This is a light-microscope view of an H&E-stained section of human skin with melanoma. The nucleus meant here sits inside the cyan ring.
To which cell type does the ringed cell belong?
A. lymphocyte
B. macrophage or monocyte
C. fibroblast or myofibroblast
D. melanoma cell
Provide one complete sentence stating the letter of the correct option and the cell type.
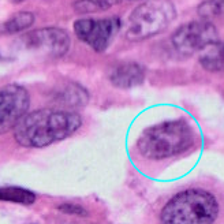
The correct option, D, describes the ringed cell as a melanoma cell.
